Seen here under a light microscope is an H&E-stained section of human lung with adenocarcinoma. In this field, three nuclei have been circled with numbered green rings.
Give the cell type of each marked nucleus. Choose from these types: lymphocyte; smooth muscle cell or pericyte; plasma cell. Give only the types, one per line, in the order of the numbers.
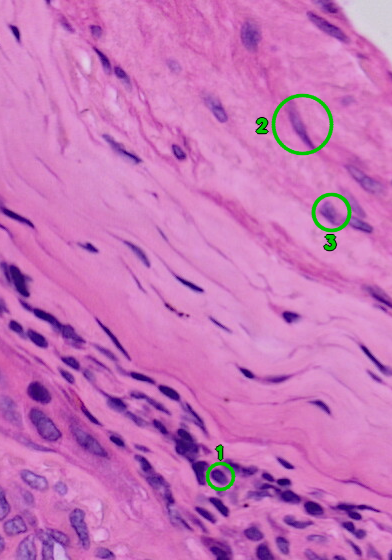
lymphocyte
smooth muscle cell or pericyte
smooth muscle cell or pericyte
